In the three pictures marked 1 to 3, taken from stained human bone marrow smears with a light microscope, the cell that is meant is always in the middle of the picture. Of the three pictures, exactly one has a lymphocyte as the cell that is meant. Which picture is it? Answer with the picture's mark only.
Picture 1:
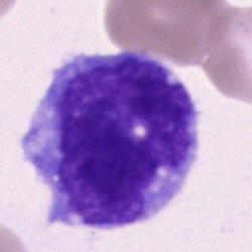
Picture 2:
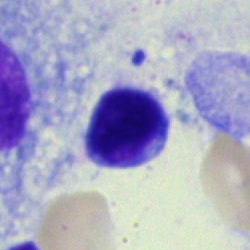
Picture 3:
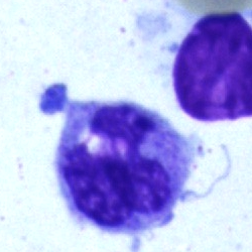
2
